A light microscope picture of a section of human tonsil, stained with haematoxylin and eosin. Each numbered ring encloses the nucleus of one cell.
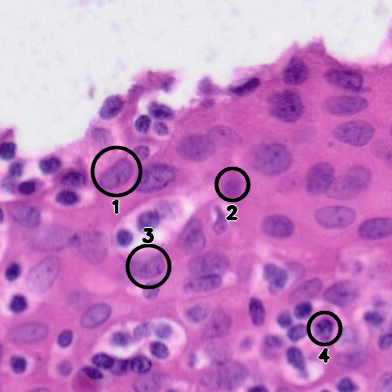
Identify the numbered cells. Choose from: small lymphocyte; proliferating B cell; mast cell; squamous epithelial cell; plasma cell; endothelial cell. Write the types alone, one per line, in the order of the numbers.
squamous epithelial cell
squamous epithelial cell
squamous epithelial cell
plasma cell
